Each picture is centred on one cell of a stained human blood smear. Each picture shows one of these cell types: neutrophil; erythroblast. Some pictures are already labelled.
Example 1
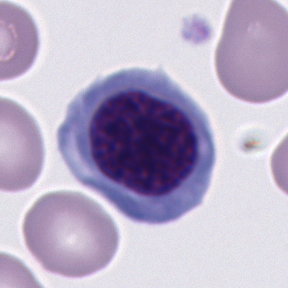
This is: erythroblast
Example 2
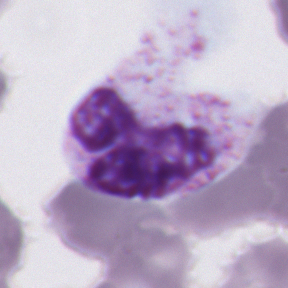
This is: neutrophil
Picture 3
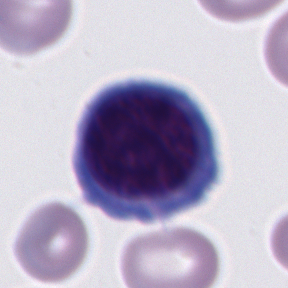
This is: erythroblast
